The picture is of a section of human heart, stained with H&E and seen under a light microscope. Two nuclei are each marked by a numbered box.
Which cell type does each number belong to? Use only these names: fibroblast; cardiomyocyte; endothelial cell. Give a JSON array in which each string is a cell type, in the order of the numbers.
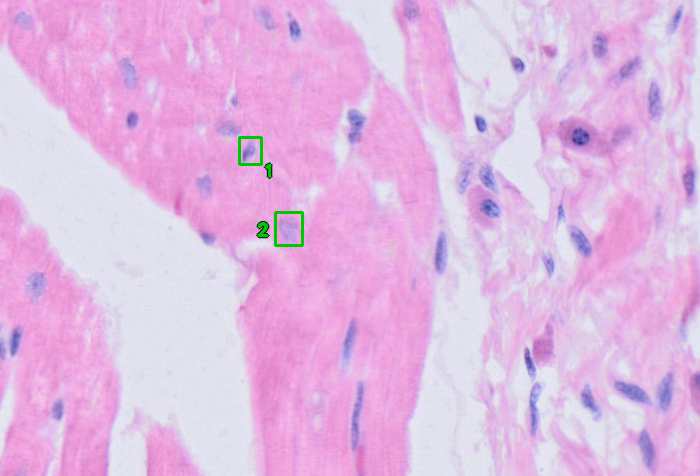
["endothelial cell", "cardiomyocyte"]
